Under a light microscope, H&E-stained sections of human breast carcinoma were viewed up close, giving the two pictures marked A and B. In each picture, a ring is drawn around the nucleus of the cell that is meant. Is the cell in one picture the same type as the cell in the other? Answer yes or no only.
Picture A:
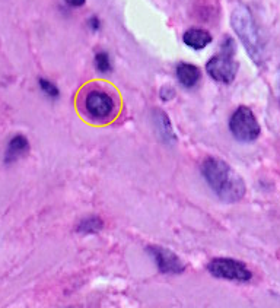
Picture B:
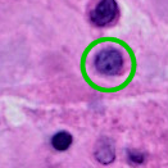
yes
